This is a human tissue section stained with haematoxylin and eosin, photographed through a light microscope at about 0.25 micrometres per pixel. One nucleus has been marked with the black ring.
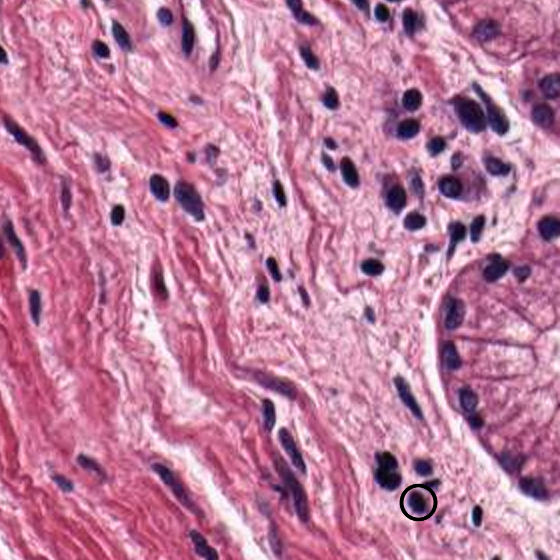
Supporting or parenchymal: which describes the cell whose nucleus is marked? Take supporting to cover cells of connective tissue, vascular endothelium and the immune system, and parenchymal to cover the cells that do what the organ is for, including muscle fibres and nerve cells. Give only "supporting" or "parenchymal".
supporting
